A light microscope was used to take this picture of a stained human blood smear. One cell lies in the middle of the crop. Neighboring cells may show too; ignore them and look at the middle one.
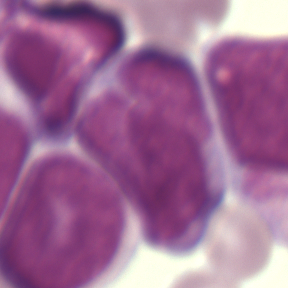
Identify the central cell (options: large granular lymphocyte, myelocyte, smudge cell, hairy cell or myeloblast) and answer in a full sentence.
This crop's central cell is a myeloblast.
